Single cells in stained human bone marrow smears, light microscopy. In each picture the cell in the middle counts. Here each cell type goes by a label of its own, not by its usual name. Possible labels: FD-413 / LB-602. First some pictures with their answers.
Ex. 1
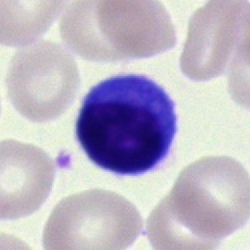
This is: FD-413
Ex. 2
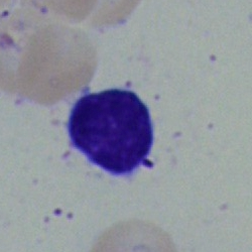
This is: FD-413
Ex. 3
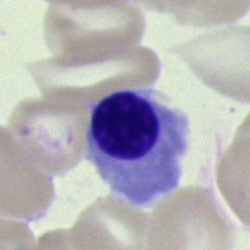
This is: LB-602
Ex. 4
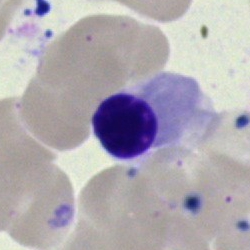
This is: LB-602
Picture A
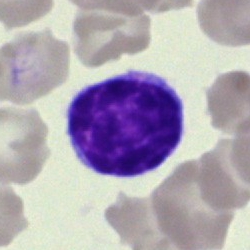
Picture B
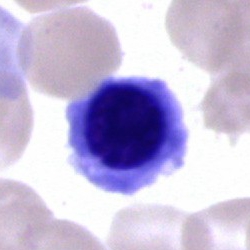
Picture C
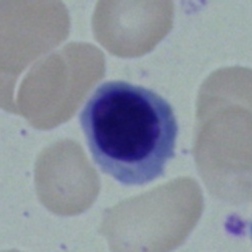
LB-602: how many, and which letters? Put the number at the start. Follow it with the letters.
2, namely B, C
